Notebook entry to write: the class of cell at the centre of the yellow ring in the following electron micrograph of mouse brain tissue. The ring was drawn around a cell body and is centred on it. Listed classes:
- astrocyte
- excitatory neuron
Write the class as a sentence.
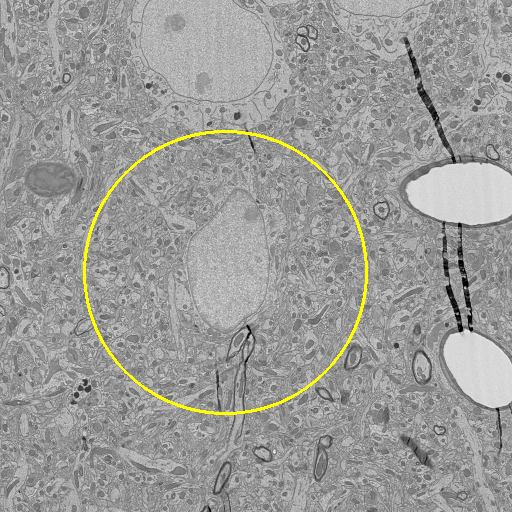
The yellow ring sits on an astrocyte.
